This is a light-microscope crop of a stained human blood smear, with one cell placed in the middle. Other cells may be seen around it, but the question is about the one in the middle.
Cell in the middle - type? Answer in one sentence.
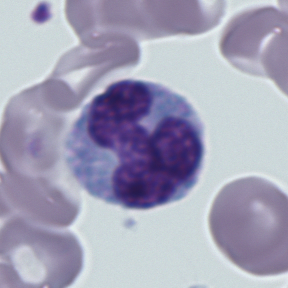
The cell sitting right in the middle is a monocyte.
